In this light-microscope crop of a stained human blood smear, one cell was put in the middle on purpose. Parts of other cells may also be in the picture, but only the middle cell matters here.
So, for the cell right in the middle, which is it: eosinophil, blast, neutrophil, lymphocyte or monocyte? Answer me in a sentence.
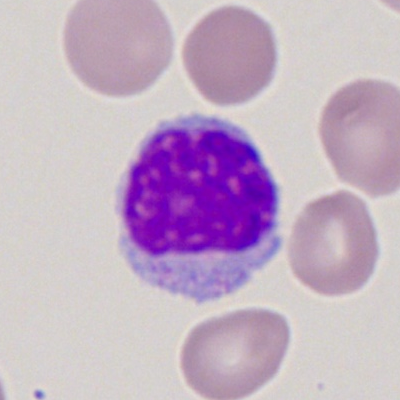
The central cell shown in this smear crop is a lymphocyte.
